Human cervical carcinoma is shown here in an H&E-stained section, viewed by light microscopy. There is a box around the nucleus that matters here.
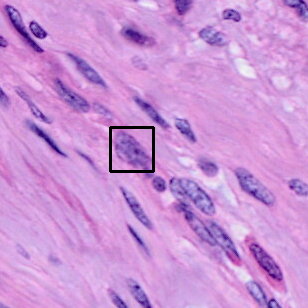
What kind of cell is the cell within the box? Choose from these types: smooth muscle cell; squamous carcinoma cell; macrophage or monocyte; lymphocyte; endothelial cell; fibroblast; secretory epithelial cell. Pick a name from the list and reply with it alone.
endothelial cell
